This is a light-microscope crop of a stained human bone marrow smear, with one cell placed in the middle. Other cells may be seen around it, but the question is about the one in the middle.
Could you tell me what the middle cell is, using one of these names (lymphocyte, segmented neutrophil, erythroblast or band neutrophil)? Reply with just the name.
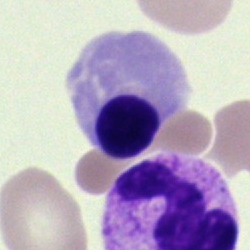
erythroblast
